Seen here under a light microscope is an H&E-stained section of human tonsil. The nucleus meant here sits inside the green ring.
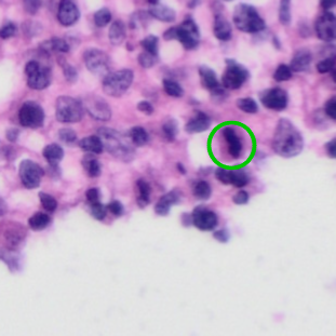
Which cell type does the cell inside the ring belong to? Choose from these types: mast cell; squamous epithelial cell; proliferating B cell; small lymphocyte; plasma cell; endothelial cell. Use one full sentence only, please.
Among the cells in this section, the cell inside the ring is a proliferating B cell.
